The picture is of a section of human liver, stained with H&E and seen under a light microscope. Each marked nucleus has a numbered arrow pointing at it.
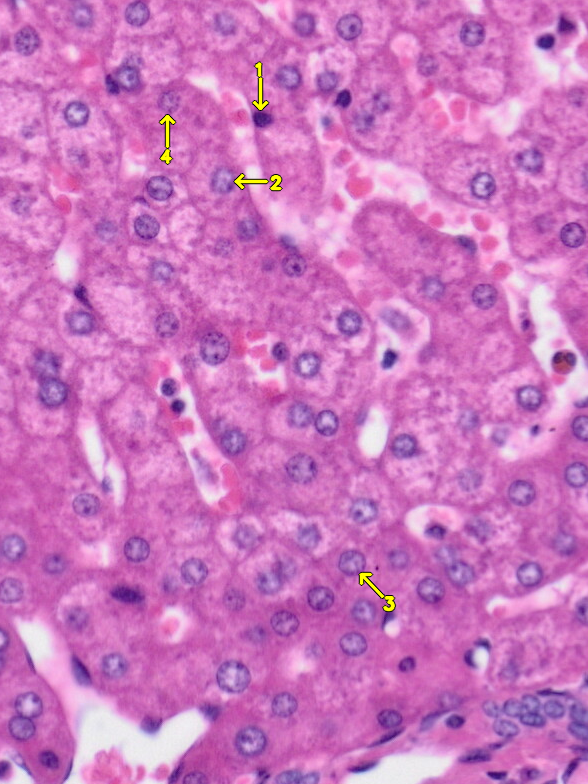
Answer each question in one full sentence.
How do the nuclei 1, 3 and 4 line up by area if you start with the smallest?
The order from the smallest nucleus to the largest is 1, 4, 3.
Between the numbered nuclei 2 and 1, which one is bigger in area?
At about 2 times the area of nucleus 1, nucleus 2 is the larger of the two.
